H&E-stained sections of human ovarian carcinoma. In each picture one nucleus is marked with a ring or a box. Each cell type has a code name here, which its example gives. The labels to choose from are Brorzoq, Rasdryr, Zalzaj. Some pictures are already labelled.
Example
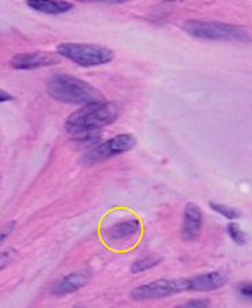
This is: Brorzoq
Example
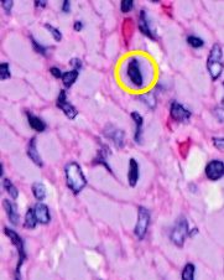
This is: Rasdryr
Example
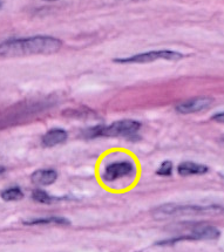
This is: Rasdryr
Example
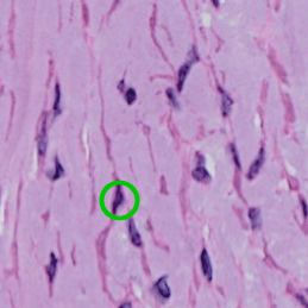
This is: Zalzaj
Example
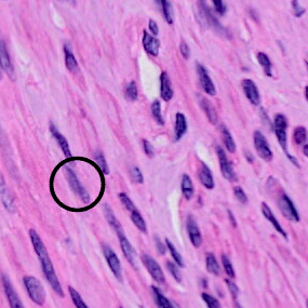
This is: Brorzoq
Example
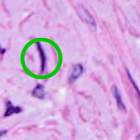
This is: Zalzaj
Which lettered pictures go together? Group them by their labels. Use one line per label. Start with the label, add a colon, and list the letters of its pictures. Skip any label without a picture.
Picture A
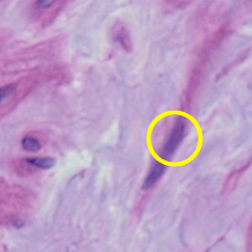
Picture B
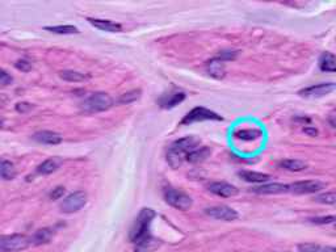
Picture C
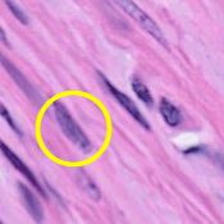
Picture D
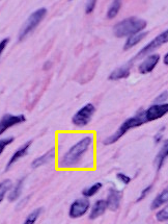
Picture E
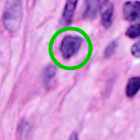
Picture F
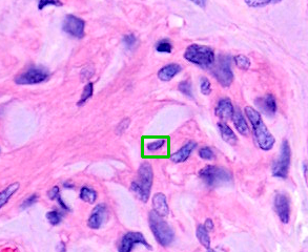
Brorzoq: A, B, C, D, F
Rasdryr: E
